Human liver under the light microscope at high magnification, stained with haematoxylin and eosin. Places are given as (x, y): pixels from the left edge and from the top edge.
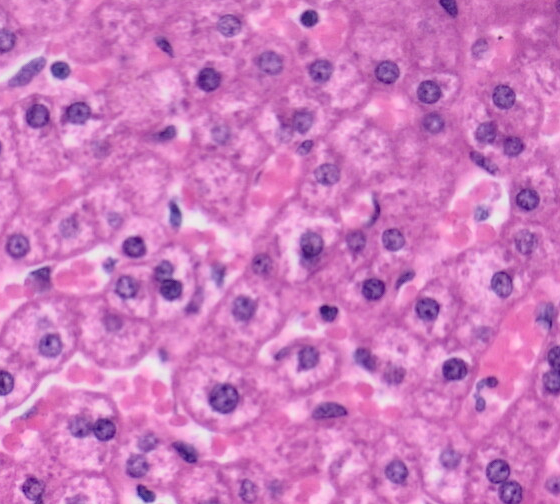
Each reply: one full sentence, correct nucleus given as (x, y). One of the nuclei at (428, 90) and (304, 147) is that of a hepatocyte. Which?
The member of the pair belonging to a hepatocyte is the nucleus at (428, 90).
